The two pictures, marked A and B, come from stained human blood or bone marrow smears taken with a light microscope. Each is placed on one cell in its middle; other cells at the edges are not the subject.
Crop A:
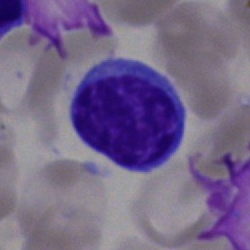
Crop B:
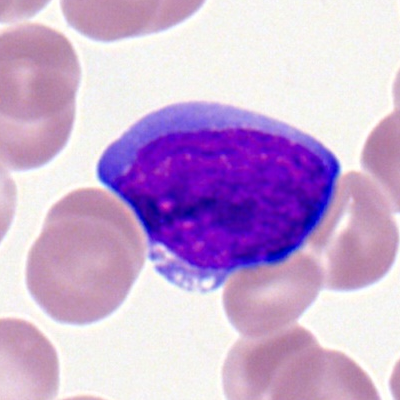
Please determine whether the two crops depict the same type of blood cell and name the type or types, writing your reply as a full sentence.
No, crop A matches a lymphocyte and crop B matches a blast.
